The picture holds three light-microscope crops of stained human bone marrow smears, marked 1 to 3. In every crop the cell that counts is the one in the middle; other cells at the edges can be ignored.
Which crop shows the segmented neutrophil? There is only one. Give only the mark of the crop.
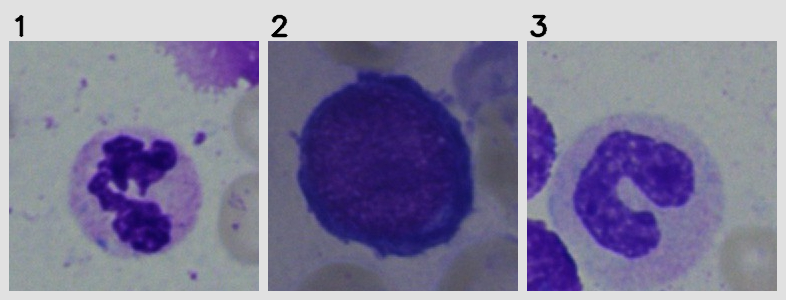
1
